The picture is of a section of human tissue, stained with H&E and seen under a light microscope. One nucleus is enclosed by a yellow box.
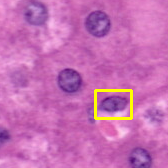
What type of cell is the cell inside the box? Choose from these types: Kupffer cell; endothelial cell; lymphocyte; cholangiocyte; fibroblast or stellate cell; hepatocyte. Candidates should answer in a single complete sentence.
Students should answer that the cell inside the box is a Kupffer cell.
